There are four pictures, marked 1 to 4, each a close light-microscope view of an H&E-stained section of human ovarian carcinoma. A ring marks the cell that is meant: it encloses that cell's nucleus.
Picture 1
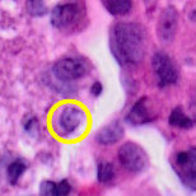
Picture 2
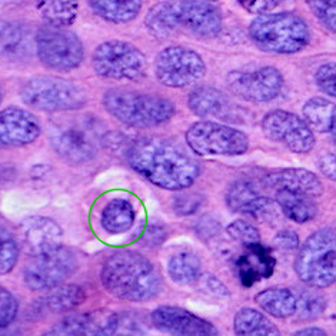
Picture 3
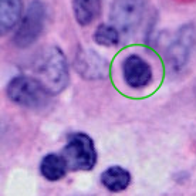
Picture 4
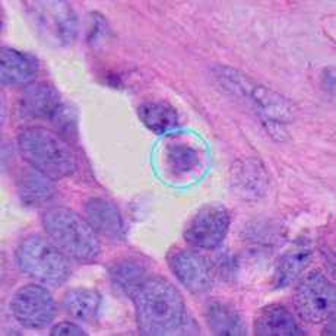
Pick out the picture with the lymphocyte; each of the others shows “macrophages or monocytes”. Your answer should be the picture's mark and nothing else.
3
